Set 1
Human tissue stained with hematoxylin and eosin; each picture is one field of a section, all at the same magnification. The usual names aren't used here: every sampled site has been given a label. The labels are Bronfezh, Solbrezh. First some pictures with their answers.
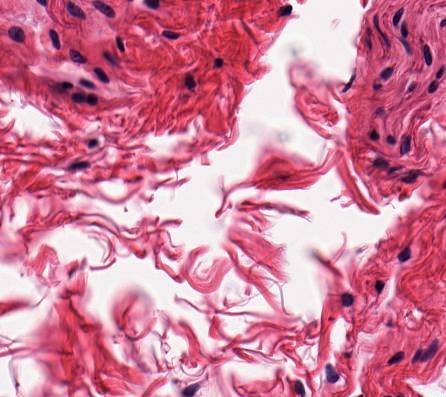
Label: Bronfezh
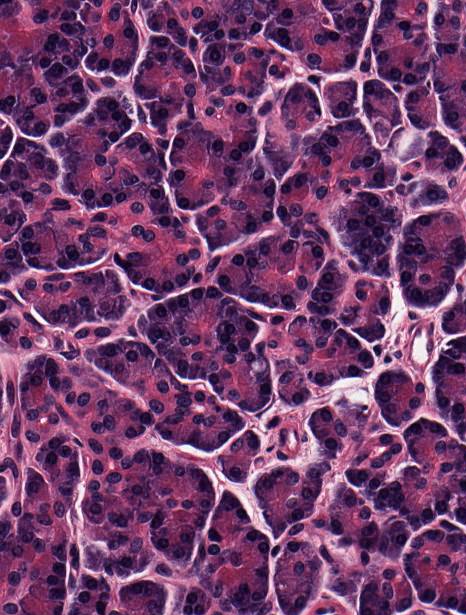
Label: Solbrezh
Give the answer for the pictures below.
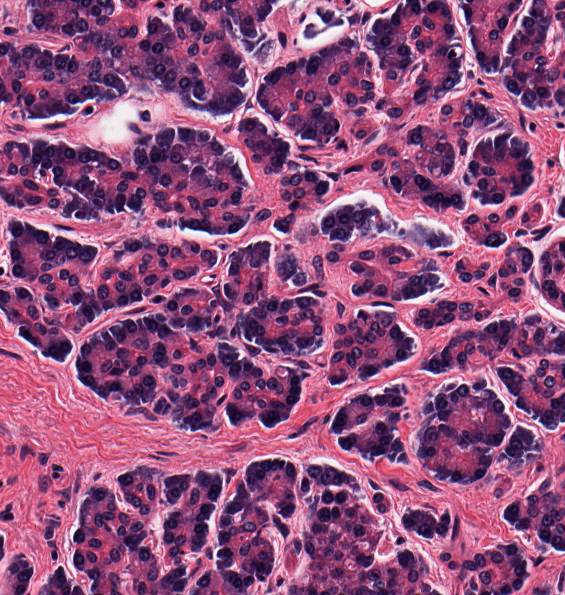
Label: Solbrezh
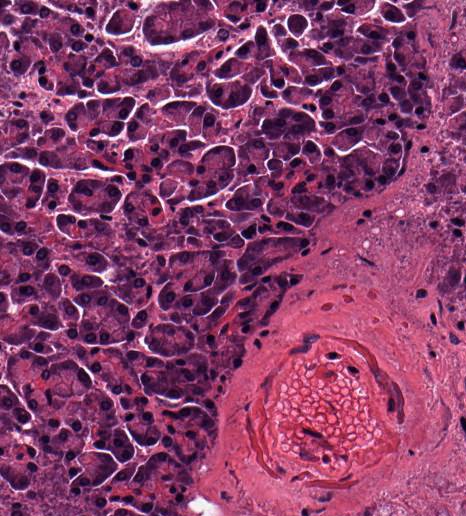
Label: Solbrezh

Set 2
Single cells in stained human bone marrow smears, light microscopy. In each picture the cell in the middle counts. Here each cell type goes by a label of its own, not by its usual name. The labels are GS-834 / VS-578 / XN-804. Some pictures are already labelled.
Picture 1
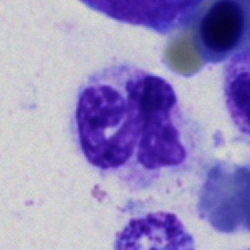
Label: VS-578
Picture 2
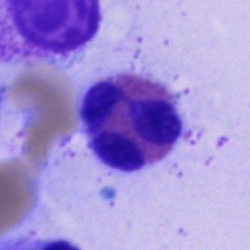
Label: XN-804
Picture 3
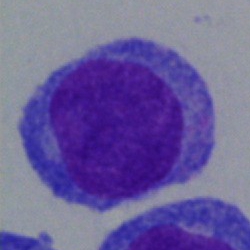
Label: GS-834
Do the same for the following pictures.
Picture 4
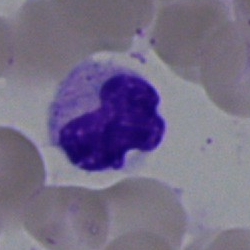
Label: VS-578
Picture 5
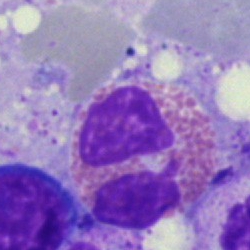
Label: XN-804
